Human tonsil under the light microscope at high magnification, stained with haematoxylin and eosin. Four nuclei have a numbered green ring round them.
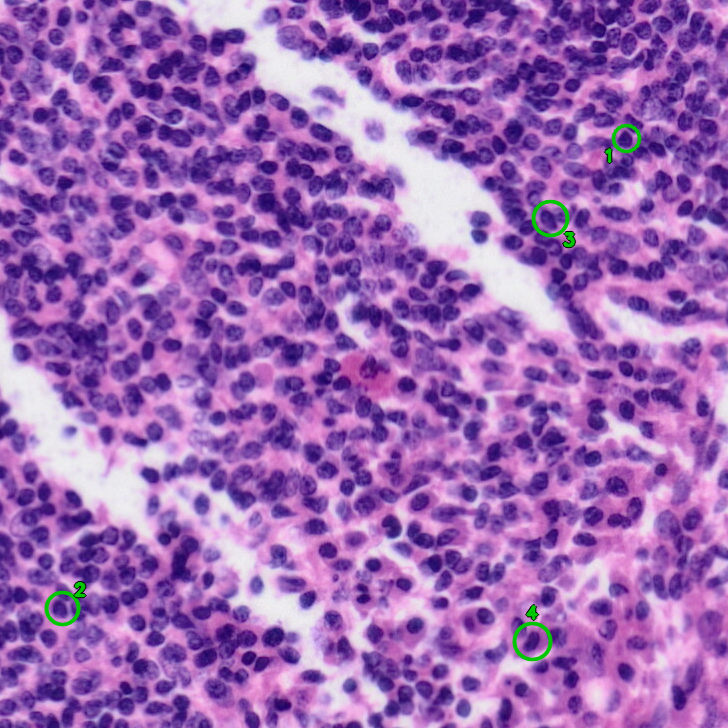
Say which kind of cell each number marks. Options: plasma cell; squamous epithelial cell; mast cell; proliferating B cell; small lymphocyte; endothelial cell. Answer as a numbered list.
1. small lymphocyte
2. small lymphocyte
3. small lymphocyte
4. plasma cell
